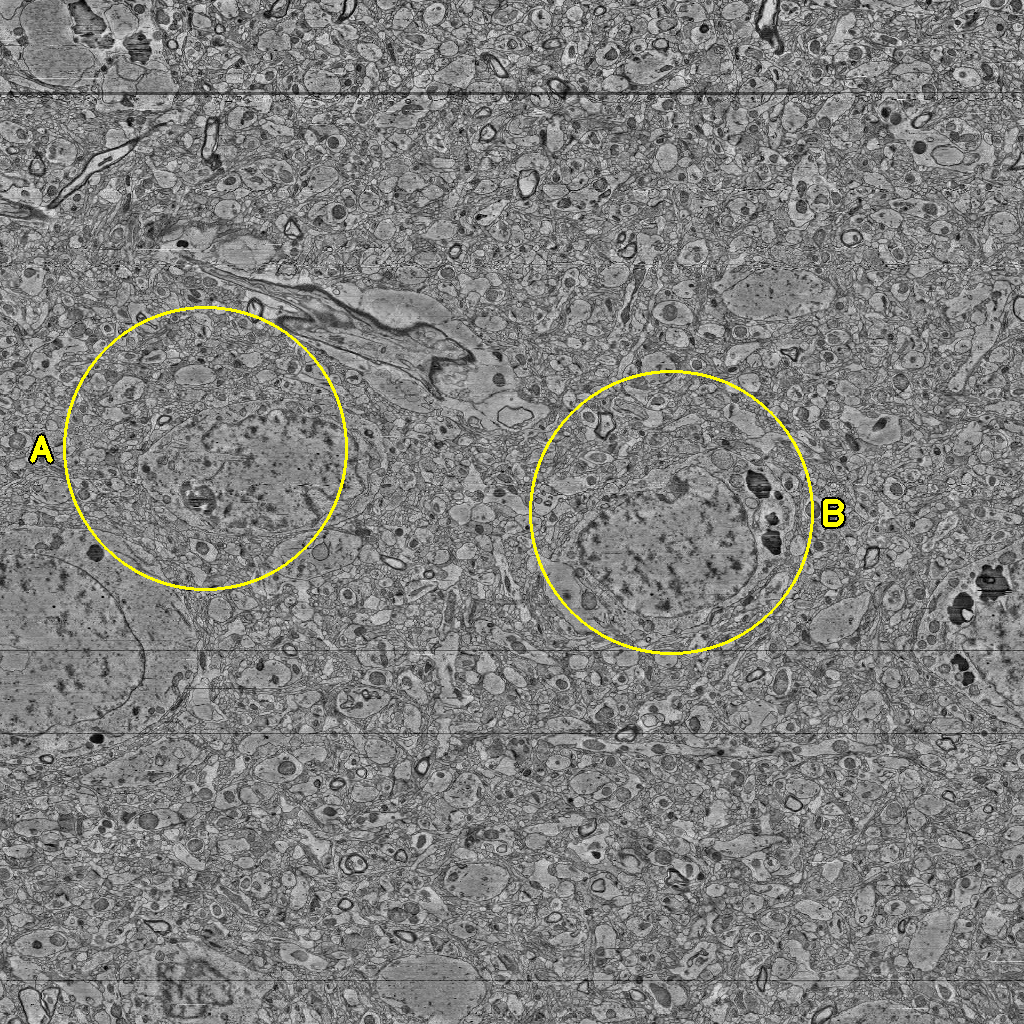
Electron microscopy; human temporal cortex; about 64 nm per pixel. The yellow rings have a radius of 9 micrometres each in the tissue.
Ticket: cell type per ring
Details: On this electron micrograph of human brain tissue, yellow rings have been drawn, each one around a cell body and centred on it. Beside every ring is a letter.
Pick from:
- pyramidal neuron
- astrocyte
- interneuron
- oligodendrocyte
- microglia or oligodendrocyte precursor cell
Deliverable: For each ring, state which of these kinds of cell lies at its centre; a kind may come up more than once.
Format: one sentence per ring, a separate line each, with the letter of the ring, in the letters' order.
The cell body ringed as A belongs to an interneuron.
The cell body ringed as B belongs to an interneuron.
